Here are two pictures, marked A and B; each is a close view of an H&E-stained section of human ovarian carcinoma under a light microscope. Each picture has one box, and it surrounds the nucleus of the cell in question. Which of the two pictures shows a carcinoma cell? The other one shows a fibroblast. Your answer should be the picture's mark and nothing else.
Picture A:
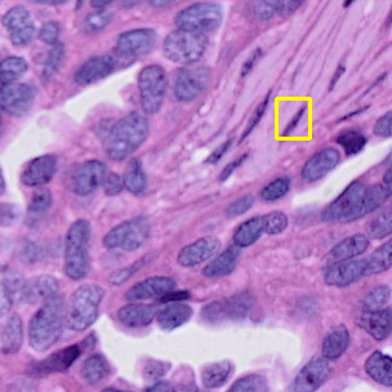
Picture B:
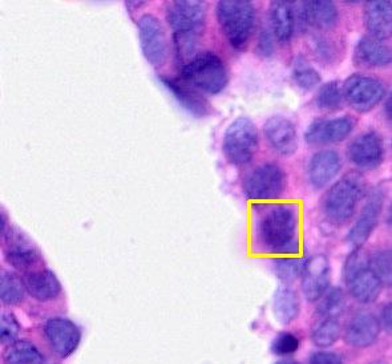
B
